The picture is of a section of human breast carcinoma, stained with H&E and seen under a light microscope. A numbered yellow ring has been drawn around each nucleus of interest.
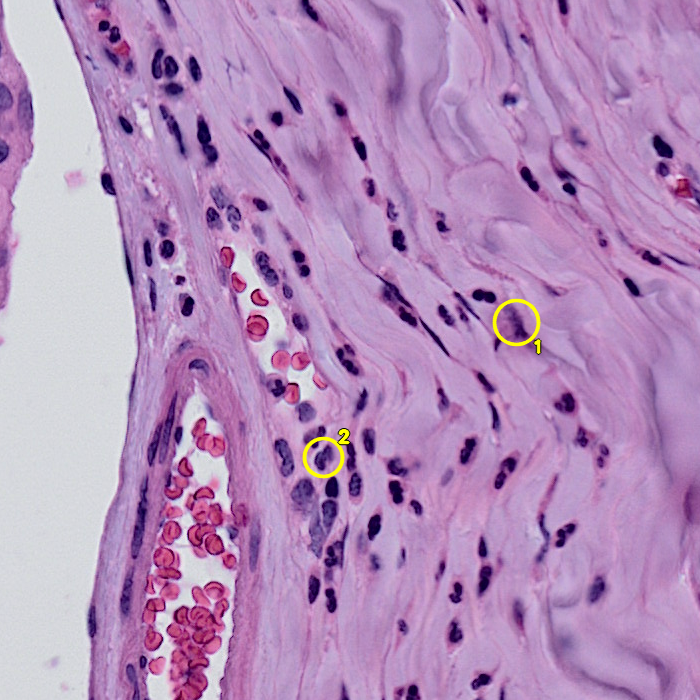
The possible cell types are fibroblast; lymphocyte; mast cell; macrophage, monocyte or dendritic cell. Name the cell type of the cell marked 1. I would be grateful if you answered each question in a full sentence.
Marked with the number 1, this cell is a fibroblast.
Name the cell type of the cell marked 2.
The cell that is numbered 2 is a lymphocyte.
